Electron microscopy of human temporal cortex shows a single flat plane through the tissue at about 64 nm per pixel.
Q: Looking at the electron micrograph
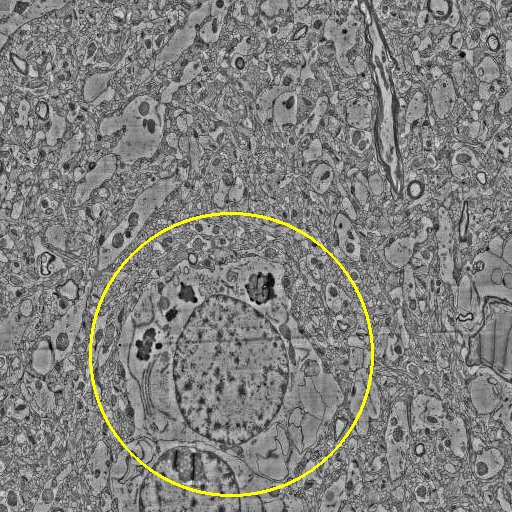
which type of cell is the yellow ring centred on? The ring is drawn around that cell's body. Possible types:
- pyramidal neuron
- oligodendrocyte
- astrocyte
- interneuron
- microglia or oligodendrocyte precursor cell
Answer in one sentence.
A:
The yellow ring is centred on an astrocyte.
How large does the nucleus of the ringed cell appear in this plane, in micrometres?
The nucleus works out at approximately 10 by 8 micrometres in this plane.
